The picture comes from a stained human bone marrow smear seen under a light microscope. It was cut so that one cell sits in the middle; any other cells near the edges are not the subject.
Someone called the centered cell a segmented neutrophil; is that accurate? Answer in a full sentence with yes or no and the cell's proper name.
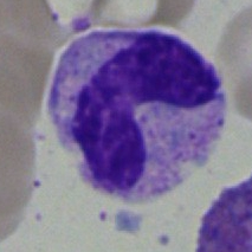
No, the cell under consideration is a band neutrophil instead of a segmented neutrophil.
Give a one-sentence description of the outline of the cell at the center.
No surface projections are present; the cell outline is smooth.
